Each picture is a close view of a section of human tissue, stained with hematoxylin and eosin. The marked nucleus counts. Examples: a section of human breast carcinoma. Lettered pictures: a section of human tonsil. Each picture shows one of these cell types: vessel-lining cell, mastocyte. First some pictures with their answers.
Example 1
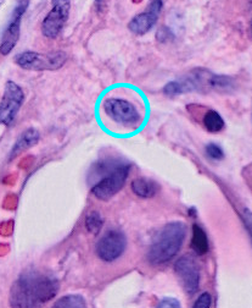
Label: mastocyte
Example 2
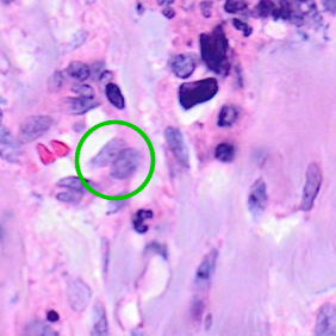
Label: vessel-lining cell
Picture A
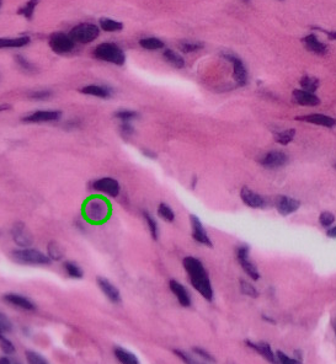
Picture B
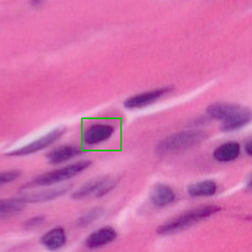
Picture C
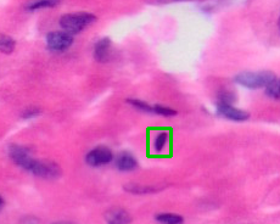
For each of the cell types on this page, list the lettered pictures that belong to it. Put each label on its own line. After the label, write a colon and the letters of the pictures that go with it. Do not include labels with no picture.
vessel-lining cell: A
mastocyte: B, C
